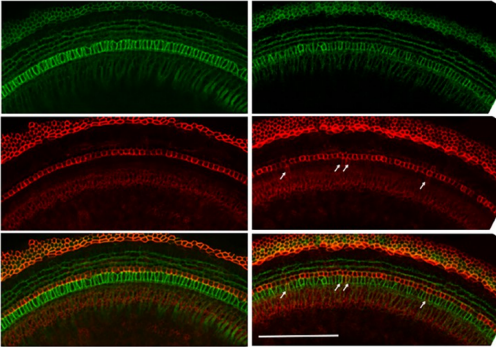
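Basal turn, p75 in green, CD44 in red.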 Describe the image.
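Seen from above, the cochlear epithelium forms a curved band of cells lying in parallel rows. A wide field of small polygonal cells with red outlines makes a honeycomb on one side. A row of elongated, bright green cells runs along the band, with fainter green streaks fanning out beside it. In the right-hand images the green row is mostly continuous. At a few places, marked by white arrows, single cells in or next to that row show red outlines rather than green.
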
